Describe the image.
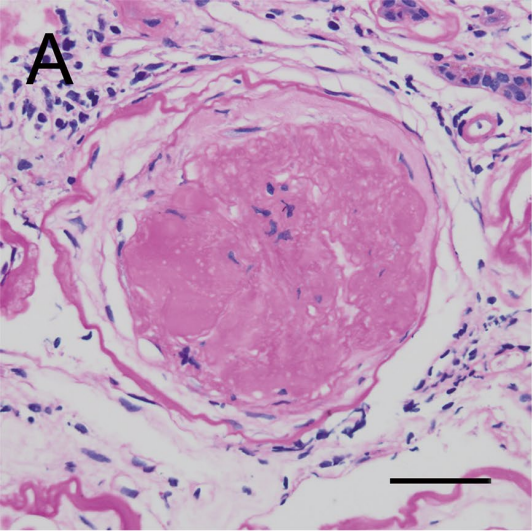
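Kidney cortex with a globally sclerosed glomerulus. The tuft is a round mass of dense magenta matrix that fills Bowman’s capsule, leaving almost no urinary space. Capillary lumina are not seen; only scattered small dark nuclei remain inside the mass, which has a lobulated, finely vacuolated texture. A thin layer of pale, loosely fibrous tissue and a thin capsule surround it. Outside, the interstitium holds scattered dark nuclei, and profiles of tubules with magenta basement membranes lie around the edge.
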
